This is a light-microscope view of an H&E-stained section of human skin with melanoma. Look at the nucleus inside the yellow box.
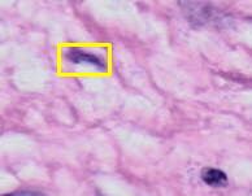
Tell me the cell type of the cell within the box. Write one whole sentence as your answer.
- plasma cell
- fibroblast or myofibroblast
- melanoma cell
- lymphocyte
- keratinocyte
The cell within the box appears to be a fibroblast or myofibroblast.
